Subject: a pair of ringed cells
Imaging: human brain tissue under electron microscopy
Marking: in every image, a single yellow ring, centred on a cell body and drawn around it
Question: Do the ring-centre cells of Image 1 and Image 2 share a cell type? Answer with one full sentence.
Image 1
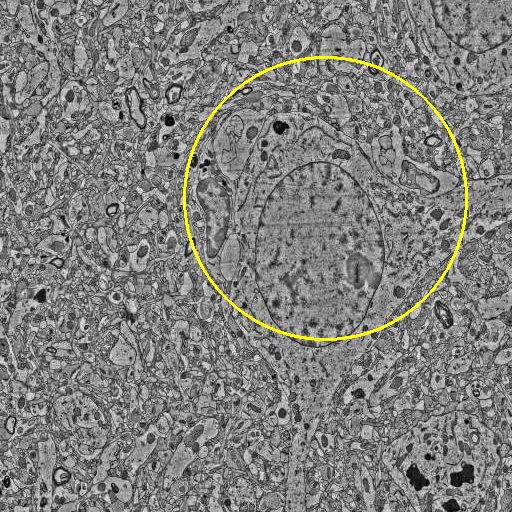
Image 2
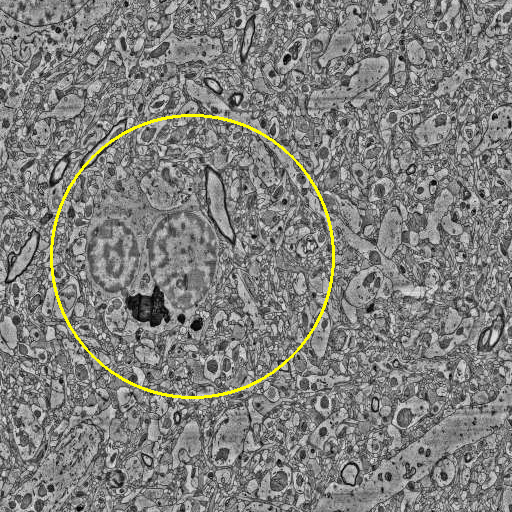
No, at the ring centres in the images sit cells of two separate types.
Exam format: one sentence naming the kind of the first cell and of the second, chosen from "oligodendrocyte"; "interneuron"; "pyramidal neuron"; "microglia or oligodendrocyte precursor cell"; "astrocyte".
The first picture's cell is a pyramidal neuron, and the second picture's cell is an oligodendrocyte.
